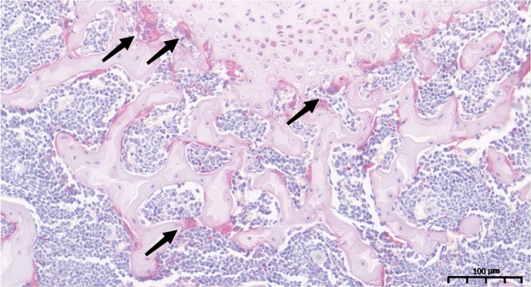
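Beneath a band of cartilage with chondrocytes in lacunae, pale pink bone trabeculae branch through marrow packed with small blue-nucleated cells. Red-magenta stained cells lie flat against the trabecular surfaces, several of them close to the cartilage–bone junction. These red cells on the bone surfaces are osteoclasts in the subchondral bone.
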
